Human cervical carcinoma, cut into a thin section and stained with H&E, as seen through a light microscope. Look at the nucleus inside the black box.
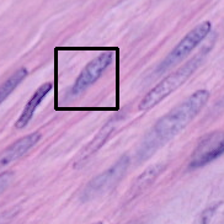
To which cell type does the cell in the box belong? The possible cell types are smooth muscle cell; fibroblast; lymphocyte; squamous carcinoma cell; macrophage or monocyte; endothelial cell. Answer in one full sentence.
The classification of the cell in the box is as a smooth muscle cell.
